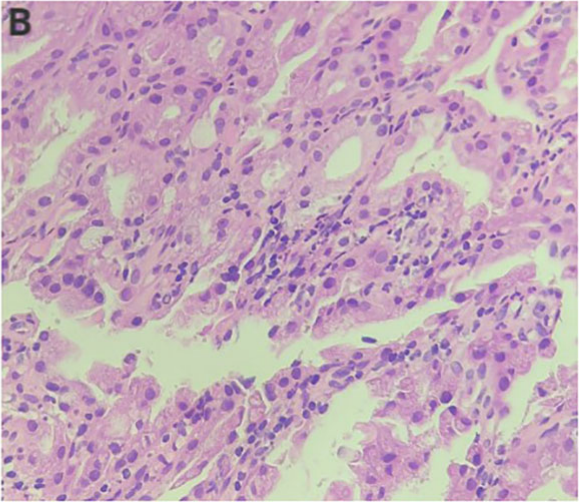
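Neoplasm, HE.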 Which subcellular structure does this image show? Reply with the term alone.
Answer: Eosinophilic cytoplasm.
